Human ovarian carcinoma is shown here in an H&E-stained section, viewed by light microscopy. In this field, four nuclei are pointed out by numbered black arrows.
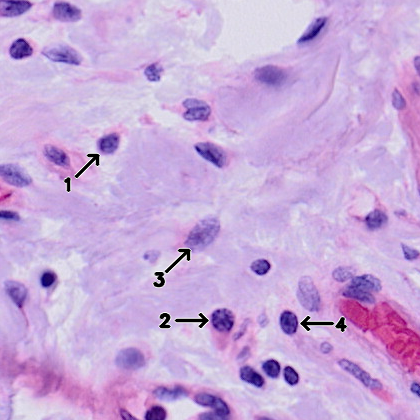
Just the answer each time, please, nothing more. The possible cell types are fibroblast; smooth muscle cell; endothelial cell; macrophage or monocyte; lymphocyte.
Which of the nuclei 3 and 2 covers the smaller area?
2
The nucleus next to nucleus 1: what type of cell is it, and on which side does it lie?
an endothelial cell, to the left of nucleus 1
